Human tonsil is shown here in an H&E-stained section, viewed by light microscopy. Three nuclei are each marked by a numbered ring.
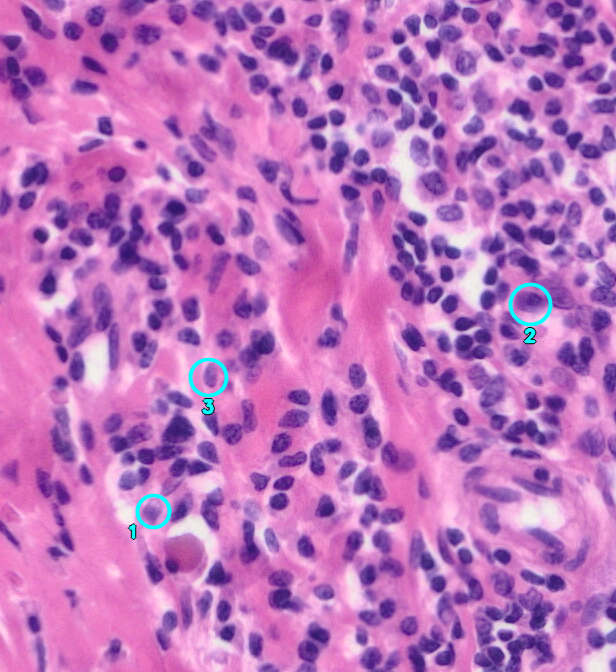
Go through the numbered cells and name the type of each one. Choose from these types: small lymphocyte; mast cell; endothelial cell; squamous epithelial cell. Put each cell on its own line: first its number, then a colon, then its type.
1: endothelial cell
2: endothelial cell
3: mast cell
